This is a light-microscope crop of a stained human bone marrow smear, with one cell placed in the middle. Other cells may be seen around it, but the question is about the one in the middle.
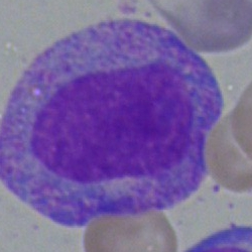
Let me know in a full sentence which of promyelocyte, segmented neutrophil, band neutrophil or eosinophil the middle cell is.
The cell at the centre of the field is a promyelocyte.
